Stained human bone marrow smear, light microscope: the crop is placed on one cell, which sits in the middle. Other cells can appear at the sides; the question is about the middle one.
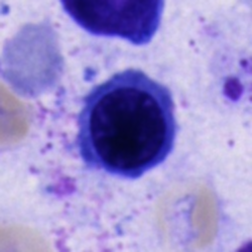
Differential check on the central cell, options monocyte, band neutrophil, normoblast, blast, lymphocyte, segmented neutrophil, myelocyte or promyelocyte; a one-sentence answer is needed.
The identification for the central cell is a normoblast.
